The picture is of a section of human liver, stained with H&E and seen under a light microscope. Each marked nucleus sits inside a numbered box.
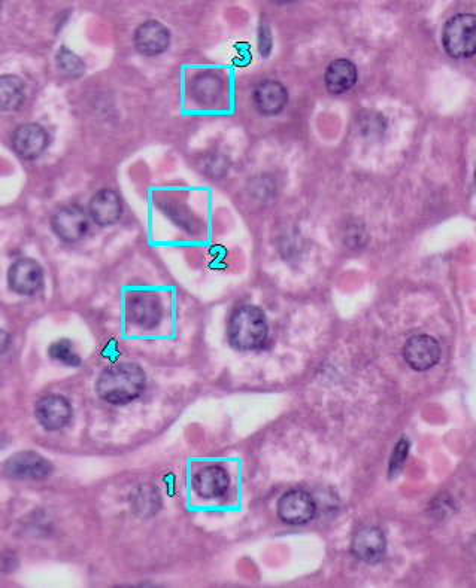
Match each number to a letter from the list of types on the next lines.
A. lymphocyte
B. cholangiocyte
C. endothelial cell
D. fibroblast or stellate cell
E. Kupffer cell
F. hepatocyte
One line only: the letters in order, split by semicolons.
F; E; F; F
